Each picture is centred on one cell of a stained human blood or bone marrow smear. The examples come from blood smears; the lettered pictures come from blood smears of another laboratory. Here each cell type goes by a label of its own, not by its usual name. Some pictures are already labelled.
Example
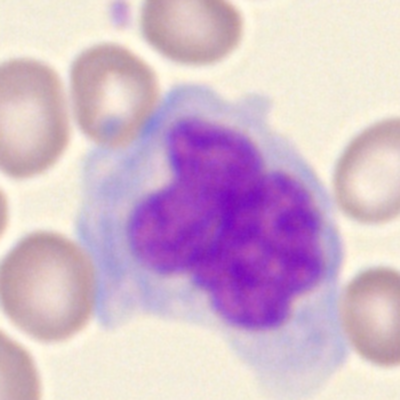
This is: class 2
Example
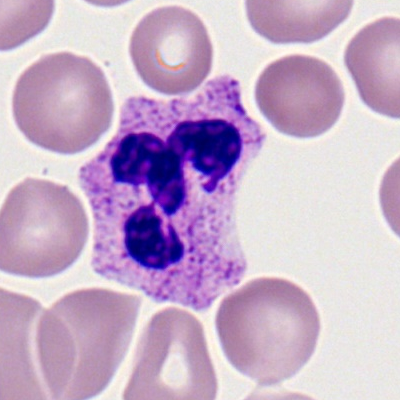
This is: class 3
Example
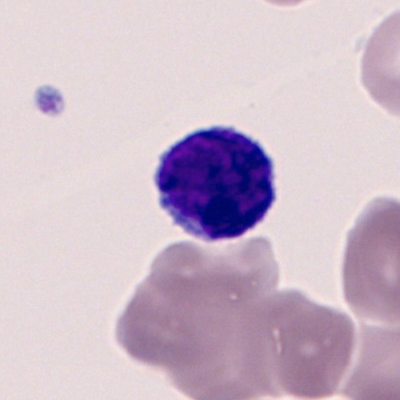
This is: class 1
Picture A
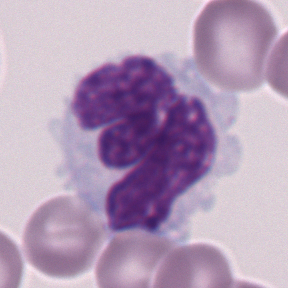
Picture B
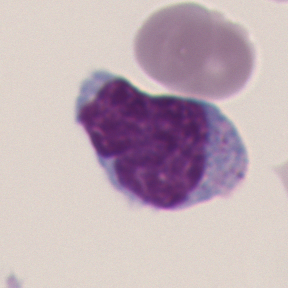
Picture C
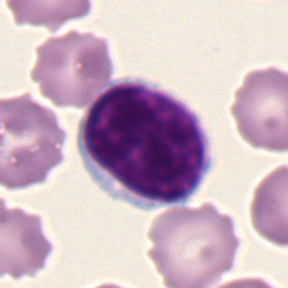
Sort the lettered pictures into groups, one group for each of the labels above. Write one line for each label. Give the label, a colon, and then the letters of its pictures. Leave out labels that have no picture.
class 2: A, B
class 1: C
